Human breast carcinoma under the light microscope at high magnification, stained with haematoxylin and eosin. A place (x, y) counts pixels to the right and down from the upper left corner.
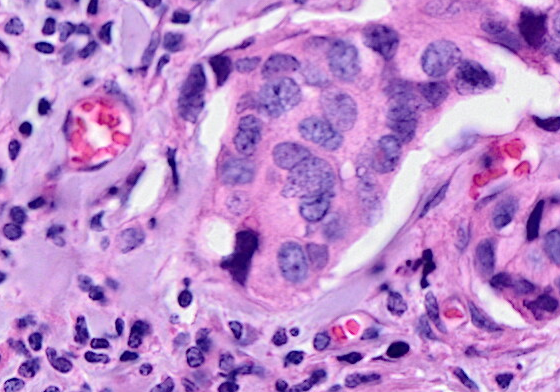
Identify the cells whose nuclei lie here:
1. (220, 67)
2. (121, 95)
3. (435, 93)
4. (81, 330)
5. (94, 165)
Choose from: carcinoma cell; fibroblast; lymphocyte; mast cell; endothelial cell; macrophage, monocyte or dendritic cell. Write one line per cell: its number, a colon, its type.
1: carcinoma cell
2: endothelial cell
3: carcinoma cell
4: lymphocyte
5: endothelial cell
